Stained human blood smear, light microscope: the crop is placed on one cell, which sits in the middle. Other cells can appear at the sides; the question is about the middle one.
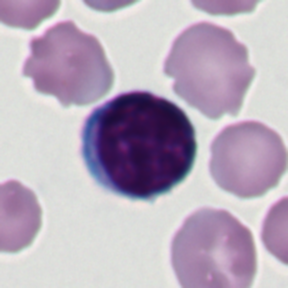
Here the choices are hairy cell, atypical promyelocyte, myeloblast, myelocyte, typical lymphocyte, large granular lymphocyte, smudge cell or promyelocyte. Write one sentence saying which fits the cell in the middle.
The cell under consideration, at the middle of the crop, is a typical lymphocyte.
